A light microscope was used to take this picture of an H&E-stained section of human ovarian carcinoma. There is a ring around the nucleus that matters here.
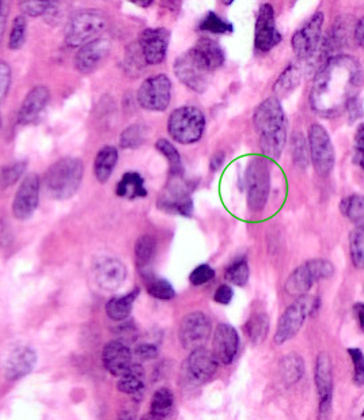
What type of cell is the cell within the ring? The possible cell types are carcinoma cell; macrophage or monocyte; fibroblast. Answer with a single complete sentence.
The identity of the cell within the ring: it is a carcinoma cell.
